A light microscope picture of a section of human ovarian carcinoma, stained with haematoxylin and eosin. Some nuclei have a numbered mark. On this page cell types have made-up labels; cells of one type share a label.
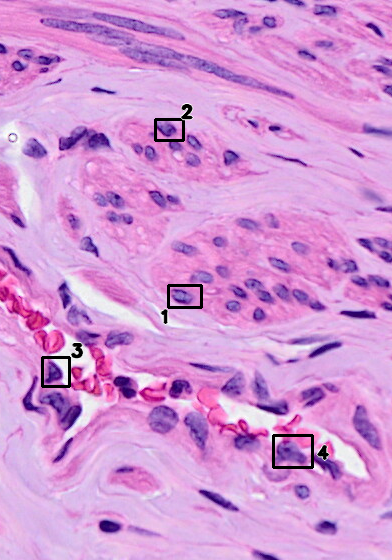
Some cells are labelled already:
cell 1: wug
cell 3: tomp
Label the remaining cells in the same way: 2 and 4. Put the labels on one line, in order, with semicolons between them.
wug; tomp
